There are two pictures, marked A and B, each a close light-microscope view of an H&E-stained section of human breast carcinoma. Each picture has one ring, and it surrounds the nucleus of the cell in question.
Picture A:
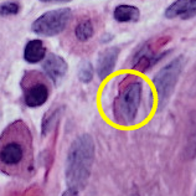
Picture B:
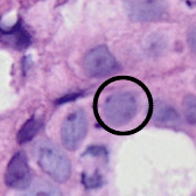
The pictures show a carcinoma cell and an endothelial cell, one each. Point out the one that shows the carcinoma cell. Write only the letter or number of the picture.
B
